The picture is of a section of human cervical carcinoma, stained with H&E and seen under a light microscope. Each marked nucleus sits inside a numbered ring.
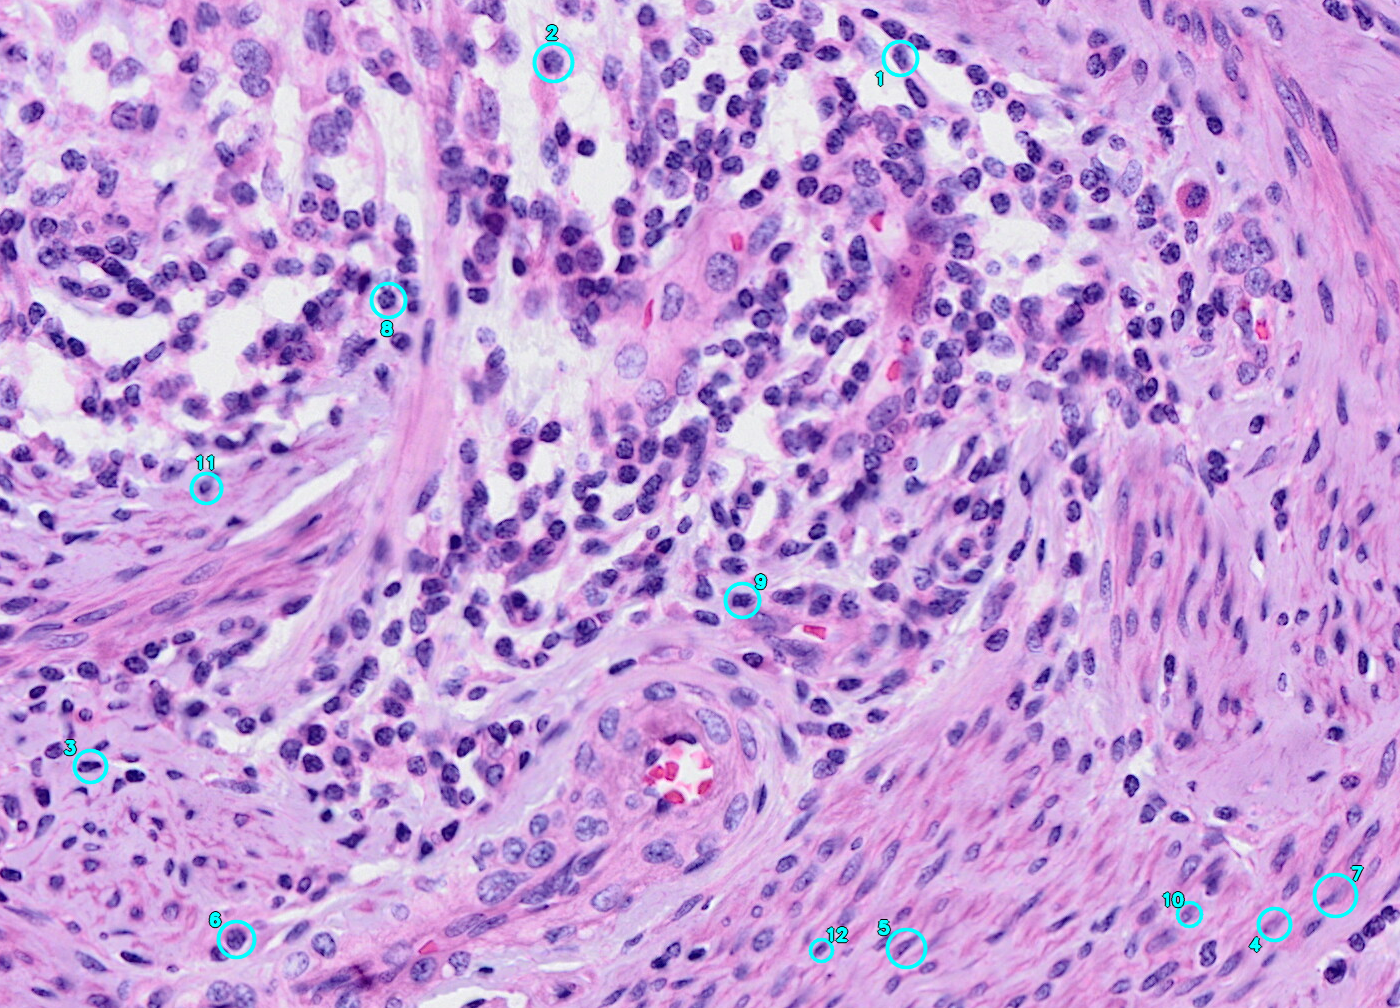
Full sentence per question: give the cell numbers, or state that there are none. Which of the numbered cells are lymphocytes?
The cells bearing the numbers 1, 2, 3, 6, 8, 9 and 11 are lymphocytes.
